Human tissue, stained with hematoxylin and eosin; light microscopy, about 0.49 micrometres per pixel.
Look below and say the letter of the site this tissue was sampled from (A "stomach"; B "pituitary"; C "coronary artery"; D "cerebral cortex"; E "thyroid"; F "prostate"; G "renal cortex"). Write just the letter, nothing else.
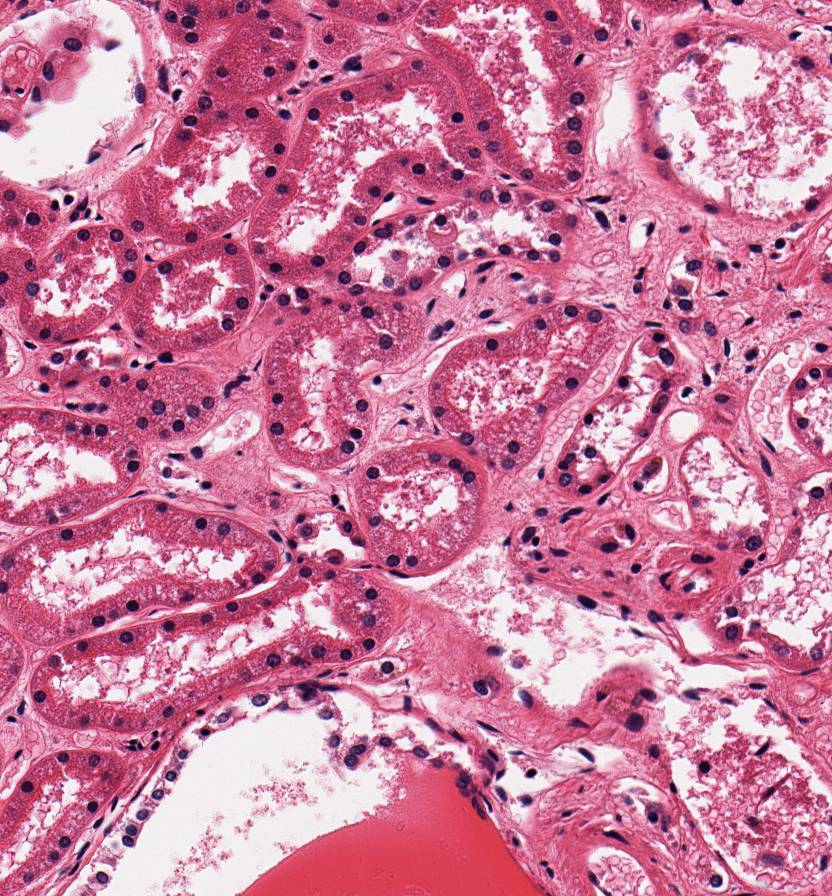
G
